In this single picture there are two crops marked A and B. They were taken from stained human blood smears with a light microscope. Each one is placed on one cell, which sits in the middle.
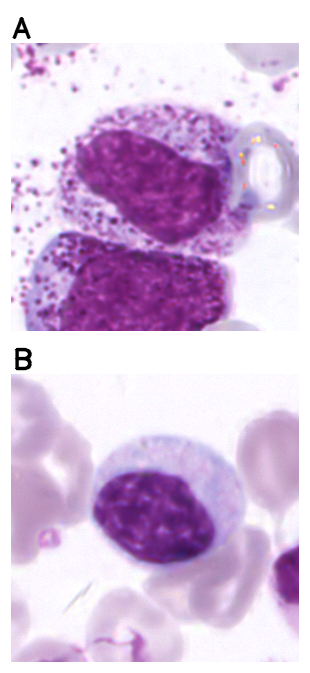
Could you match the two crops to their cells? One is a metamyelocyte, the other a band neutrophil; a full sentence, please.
The designated cell in crop A is a band neutrophil, and the designated cell in crop B is a metamyelocyte.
